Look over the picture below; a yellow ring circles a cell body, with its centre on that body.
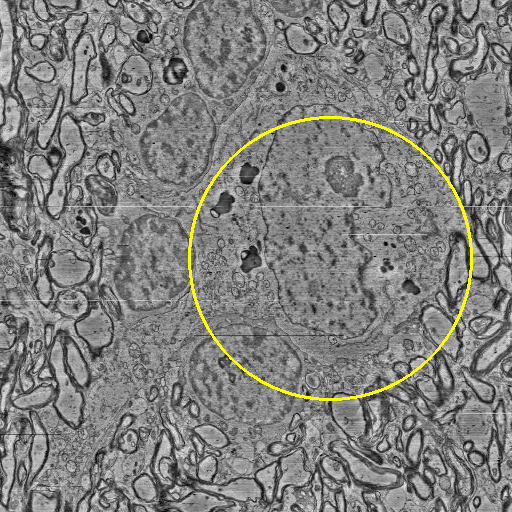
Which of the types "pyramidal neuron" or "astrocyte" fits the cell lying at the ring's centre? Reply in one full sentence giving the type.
The picture shows a pyramidal neuron at the centre of the yellow ring.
